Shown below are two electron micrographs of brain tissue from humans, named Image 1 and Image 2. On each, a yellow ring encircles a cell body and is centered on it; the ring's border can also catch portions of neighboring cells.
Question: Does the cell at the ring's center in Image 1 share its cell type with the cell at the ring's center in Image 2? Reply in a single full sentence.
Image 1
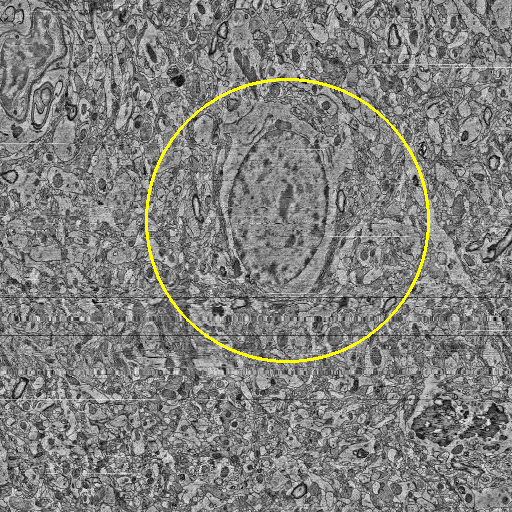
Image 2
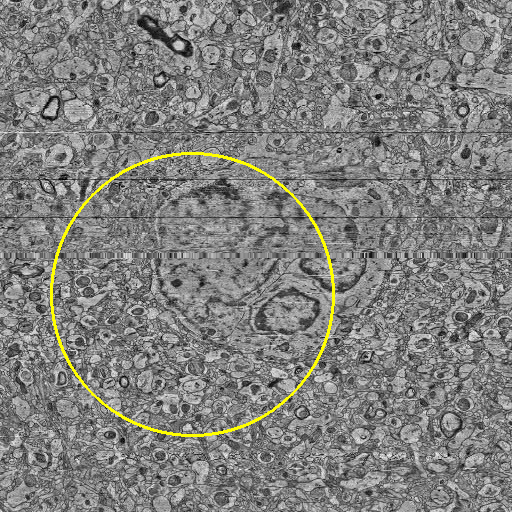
No, the two cells at the ring centers, in Image 1 and Image 2, are of two cell types.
